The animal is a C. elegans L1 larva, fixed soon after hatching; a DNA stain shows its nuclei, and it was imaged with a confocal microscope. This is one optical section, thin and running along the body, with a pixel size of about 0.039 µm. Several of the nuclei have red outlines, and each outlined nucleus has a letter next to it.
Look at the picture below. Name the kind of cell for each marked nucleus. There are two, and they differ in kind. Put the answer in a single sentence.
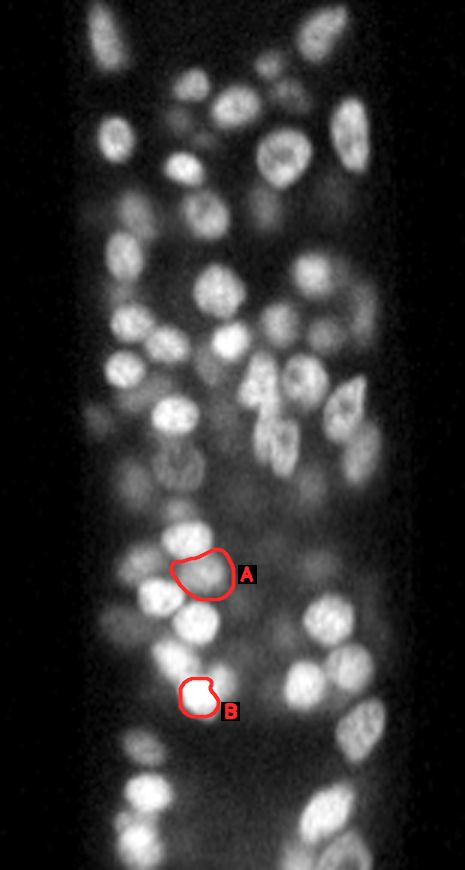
Nucleus A comes from a neuron and nucleus B from a GLR cell.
